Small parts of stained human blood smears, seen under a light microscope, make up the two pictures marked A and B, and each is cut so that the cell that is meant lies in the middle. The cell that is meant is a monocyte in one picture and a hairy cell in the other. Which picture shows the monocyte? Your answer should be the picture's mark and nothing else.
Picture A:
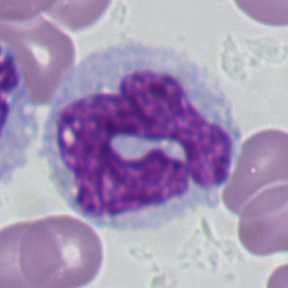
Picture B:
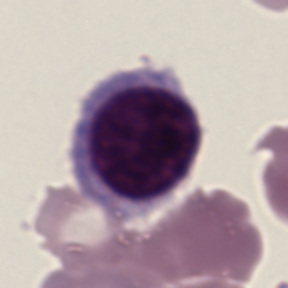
A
